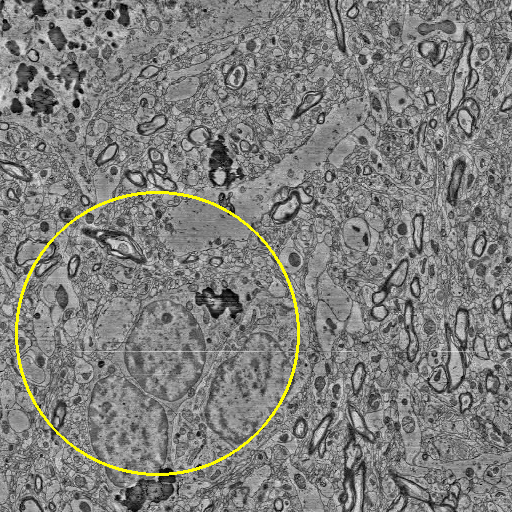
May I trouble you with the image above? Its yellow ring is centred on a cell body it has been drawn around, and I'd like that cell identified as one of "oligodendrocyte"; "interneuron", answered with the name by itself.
oligodendrocyte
